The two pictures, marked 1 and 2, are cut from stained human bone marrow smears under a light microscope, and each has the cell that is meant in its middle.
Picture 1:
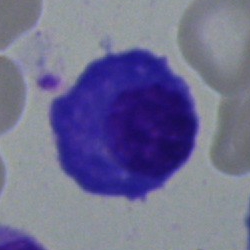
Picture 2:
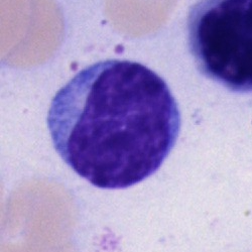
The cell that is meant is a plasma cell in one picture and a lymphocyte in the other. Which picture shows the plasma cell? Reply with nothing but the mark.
1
